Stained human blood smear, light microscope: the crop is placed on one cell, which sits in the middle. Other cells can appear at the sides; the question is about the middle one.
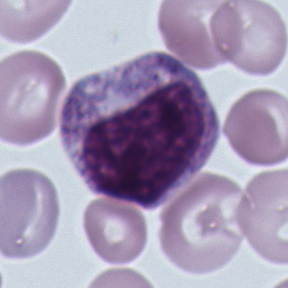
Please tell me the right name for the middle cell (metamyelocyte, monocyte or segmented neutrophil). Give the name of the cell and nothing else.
metamyelocyte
